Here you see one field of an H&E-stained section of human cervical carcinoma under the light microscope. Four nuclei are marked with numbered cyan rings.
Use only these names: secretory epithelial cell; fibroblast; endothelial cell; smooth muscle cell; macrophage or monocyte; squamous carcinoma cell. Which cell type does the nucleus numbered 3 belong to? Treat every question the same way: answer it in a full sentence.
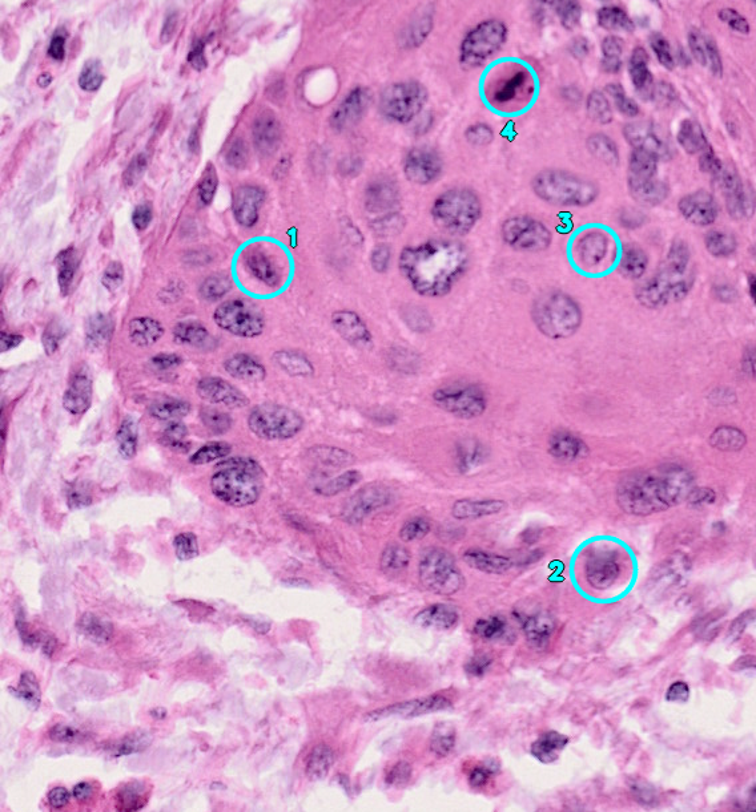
Cell 3 in the field is a squamous carcinoma cell.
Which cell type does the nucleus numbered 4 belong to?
The marked cell with the number 4 is recognised as a squamous carcinoma cell.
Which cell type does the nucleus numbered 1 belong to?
The marked cell with the number 1 is recognised as a squamous carcinoma cell.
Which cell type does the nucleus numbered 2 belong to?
Looking at the numbered marks, cell 2 is a macrophage or monocyte.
